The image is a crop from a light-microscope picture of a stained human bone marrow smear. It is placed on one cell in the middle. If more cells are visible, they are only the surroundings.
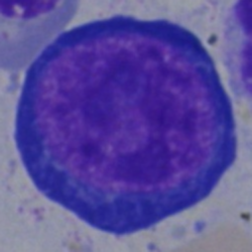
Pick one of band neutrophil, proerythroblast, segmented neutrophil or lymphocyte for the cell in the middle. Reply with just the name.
proerythroblast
